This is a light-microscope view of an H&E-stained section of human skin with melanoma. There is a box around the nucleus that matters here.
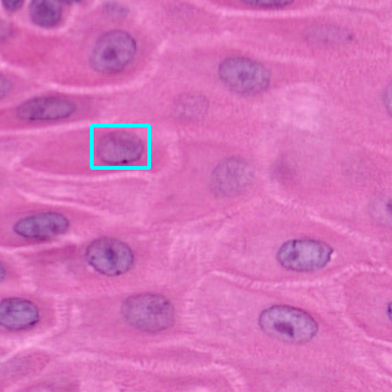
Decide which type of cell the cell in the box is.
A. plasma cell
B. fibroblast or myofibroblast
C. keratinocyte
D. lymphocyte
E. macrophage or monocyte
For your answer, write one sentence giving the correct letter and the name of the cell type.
On this slide, the cell in the box is a keratinocyte, so option C is right.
